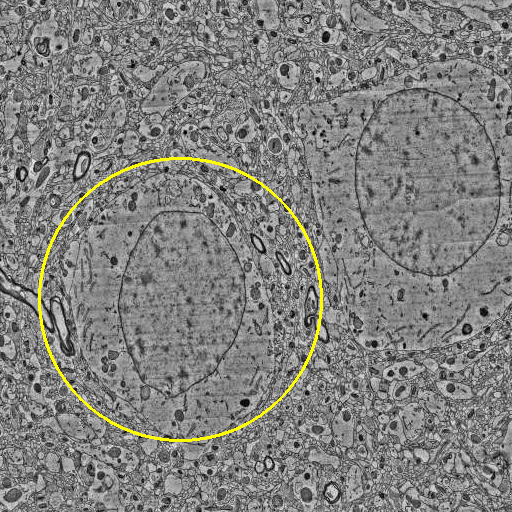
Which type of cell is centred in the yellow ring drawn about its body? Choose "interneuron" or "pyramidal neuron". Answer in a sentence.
The yellow ring surrounds the cell body of a pyramidal neuron.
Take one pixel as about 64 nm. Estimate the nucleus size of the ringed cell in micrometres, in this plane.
The nucleus comes to roughly 12 by 8 micrometres in this plane.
